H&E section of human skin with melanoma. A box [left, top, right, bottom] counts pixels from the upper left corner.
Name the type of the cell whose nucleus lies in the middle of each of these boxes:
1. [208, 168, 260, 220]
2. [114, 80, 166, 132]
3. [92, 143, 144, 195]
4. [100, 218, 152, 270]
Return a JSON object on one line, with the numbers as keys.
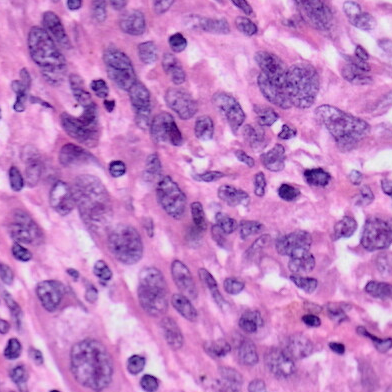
{"1": "melanoma cell", "2": "melanoma cell", "3": "lymphocyte", "4": "melanoma cell"}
